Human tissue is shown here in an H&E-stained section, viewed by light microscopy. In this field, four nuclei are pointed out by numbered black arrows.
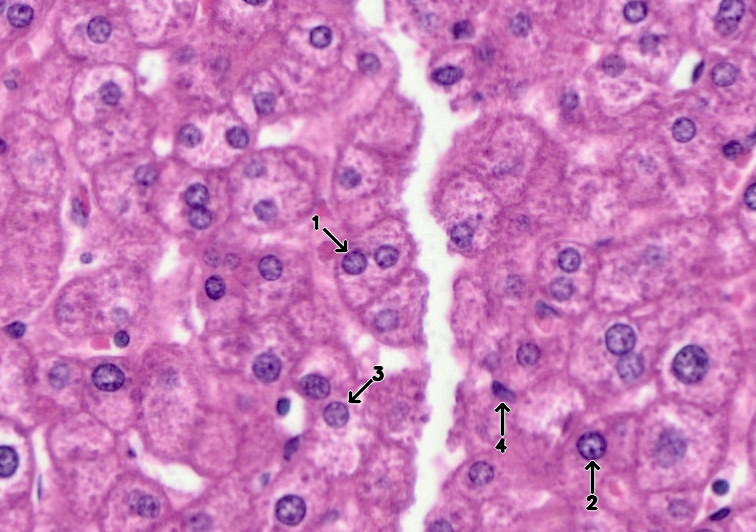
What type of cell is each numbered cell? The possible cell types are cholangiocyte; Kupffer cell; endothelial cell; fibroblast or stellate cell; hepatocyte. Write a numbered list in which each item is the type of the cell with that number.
1. hepatocyte
2. hepatocyte
3. hepatocyte
4. fibroblast or stellate cell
